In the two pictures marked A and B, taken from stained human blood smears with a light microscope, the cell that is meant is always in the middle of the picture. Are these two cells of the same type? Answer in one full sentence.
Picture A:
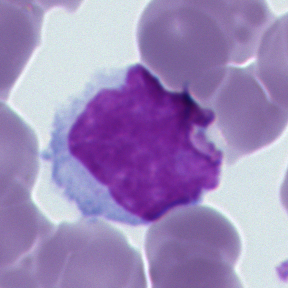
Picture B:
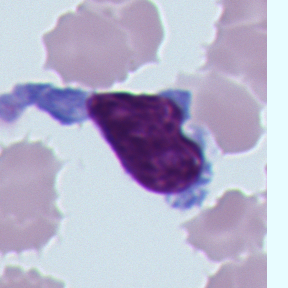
Yes, both are typical lymphocytes.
